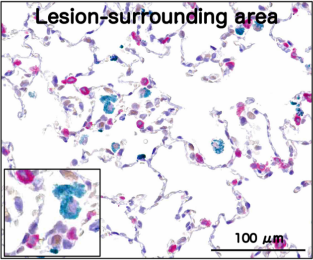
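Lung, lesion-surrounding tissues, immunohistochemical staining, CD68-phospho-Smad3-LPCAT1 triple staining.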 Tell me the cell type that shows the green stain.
Macrophages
